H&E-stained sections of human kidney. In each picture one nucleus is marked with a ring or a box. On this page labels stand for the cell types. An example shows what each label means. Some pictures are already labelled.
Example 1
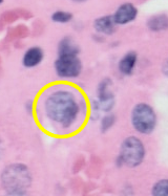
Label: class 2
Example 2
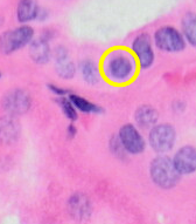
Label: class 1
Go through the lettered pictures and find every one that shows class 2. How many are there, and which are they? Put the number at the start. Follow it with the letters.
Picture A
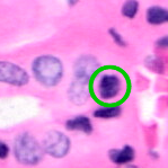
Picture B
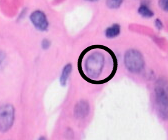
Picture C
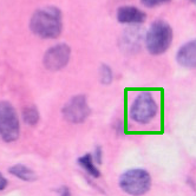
0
